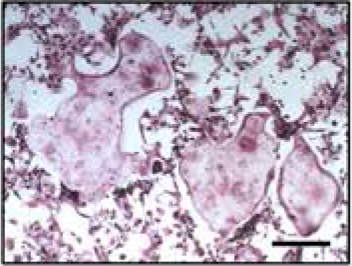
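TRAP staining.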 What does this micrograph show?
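This field shows cultured osteoclasts stained pink. Several very large, flattened cells with irregular, rounded to polygonal outlines occupy much of the field; their cytoplasm is stained a pale pink and they are many times the size of the surrounding cells. Around and between them lie numerous small, darker, mononuclear cells, some rounded and some spindle-shaped, scattered densely over the dish. The giant cells have distinct, slightly darker borders, and some appear to contain several nuclei. The contrast between the few huge stained cells and the many small cells is the dominant feature of the culture.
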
